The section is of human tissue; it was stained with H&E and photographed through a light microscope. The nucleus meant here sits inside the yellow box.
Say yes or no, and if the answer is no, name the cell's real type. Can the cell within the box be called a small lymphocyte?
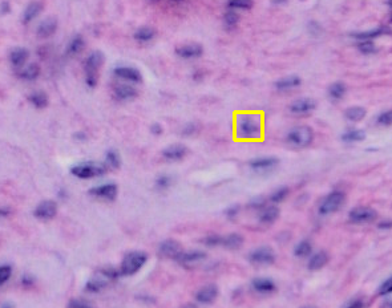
No, it is a smooth muscle cell.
